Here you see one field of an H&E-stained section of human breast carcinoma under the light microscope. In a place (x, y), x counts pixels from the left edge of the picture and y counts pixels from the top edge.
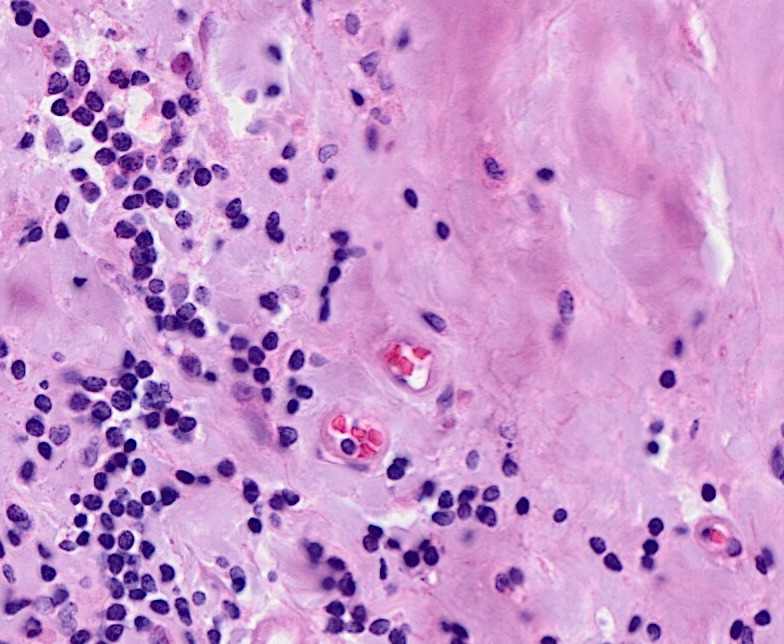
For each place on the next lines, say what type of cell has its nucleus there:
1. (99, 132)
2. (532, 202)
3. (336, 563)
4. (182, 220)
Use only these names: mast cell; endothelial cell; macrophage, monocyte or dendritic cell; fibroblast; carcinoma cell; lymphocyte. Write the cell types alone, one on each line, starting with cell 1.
lymphocyte
fibroblast
lymphocyte
lymphocyte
